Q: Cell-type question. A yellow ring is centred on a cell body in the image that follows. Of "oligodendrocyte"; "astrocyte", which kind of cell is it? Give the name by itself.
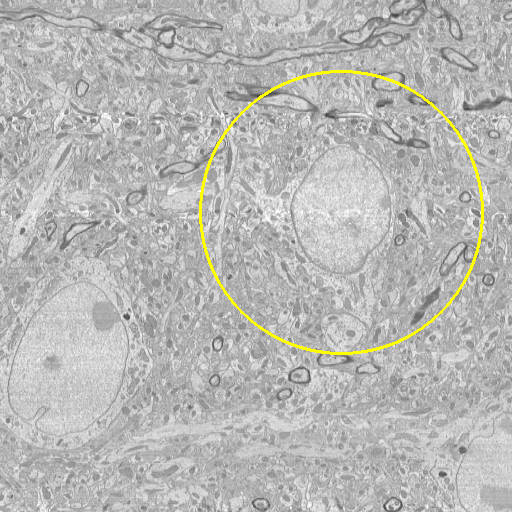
astrocyte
